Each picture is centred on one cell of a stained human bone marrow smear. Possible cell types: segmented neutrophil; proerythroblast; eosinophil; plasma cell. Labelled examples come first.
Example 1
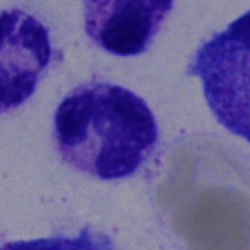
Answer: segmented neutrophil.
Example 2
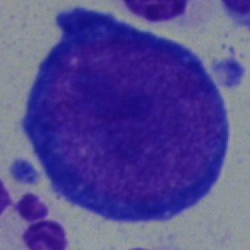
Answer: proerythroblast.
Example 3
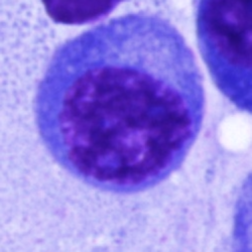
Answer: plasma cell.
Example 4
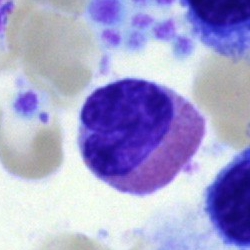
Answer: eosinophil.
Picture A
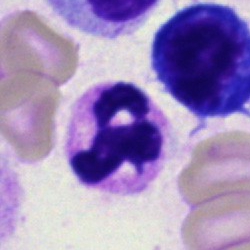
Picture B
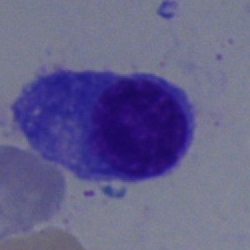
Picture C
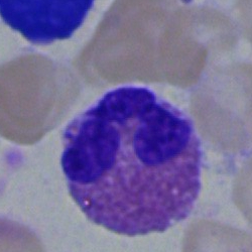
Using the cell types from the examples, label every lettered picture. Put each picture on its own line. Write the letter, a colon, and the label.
A: segmented neutrophil.
B: plasma cell.
C: eosinophil.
